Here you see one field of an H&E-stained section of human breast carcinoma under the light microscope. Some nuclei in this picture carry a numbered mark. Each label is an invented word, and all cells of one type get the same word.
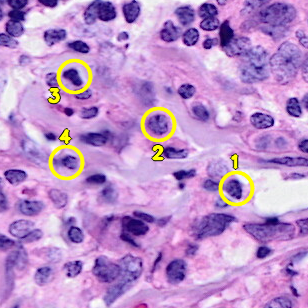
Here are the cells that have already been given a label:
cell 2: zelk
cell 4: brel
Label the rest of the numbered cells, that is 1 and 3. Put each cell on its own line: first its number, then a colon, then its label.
1: brel
3: brel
